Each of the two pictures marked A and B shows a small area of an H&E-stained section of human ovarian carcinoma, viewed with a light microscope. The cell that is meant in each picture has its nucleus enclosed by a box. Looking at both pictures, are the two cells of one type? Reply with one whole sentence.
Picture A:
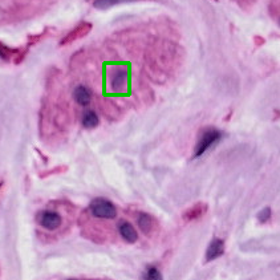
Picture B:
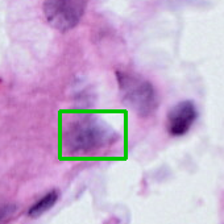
No. Picture A shows a smooth muscle cell, but picture B shows an endothelial cell.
